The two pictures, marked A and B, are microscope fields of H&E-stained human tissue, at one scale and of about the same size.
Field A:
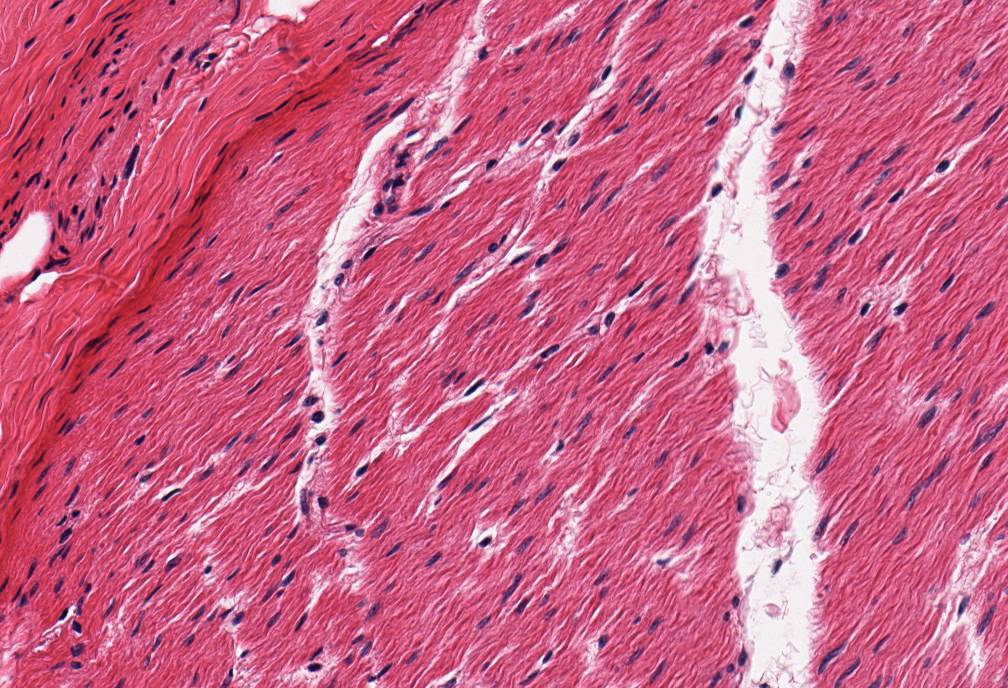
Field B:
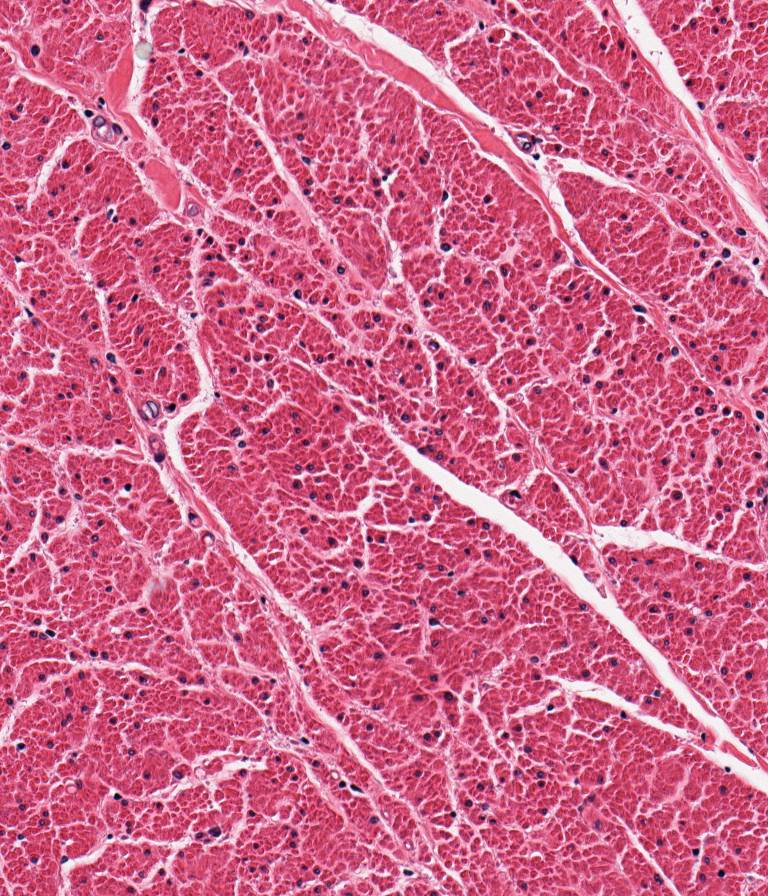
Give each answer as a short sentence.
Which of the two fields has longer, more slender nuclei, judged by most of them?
The nuclei are more elongated in field A.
